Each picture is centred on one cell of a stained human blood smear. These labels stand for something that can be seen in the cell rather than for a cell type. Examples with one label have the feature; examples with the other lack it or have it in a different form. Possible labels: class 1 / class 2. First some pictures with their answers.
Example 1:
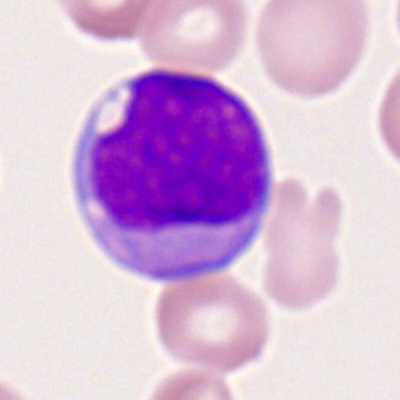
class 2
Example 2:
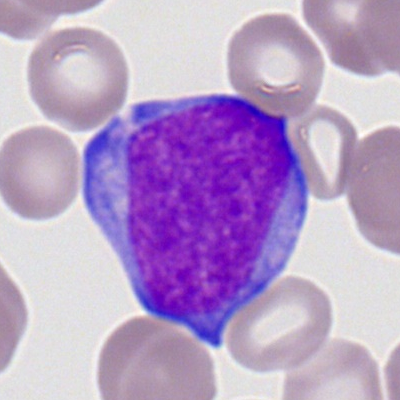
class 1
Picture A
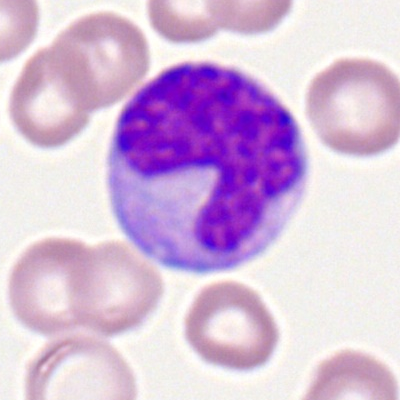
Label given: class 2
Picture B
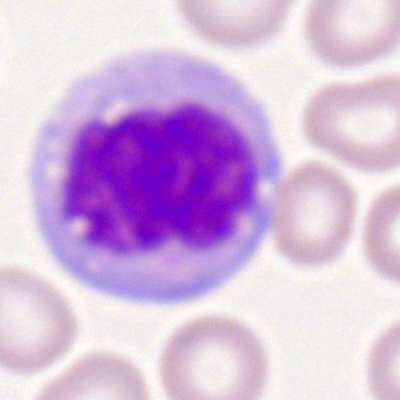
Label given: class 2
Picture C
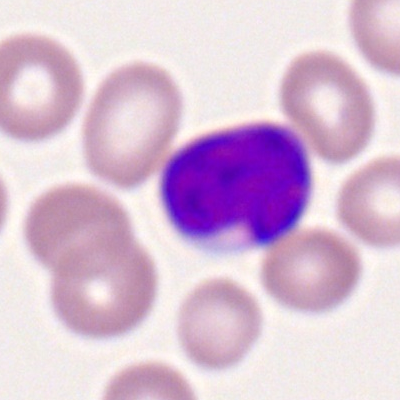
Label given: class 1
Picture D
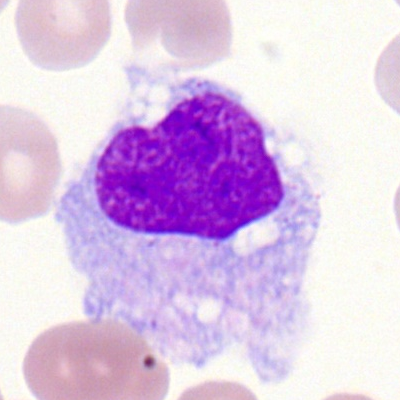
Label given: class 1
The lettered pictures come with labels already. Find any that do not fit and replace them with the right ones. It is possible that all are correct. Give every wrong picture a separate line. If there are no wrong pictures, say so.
C: not class 1 but class 2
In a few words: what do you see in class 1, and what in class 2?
class 1: ragged outline or projections; class 2: smooth outline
